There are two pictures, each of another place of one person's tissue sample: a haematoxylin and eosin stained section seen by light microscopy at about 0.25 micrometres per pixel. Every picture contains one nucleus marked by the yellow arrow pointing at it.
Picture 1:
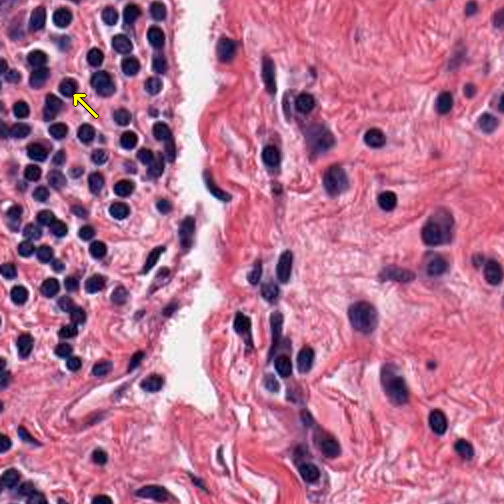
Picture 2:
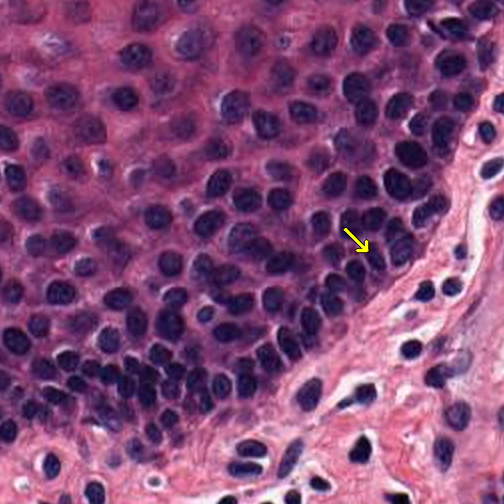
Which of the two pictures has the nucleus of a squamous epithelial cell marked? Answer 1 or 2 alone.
2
